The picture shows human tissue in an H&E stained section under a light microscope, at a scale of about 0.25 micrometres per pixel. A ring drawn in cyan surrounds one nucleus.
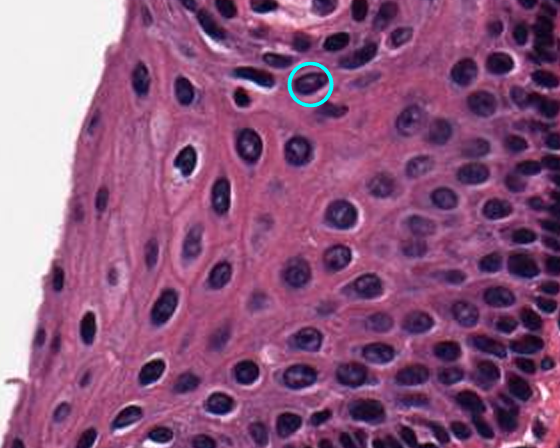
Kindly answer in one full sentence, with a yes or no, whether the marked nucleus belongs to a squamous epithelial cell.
Yes, the marked nucleus is one belonging to a squamous epithelial cell.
